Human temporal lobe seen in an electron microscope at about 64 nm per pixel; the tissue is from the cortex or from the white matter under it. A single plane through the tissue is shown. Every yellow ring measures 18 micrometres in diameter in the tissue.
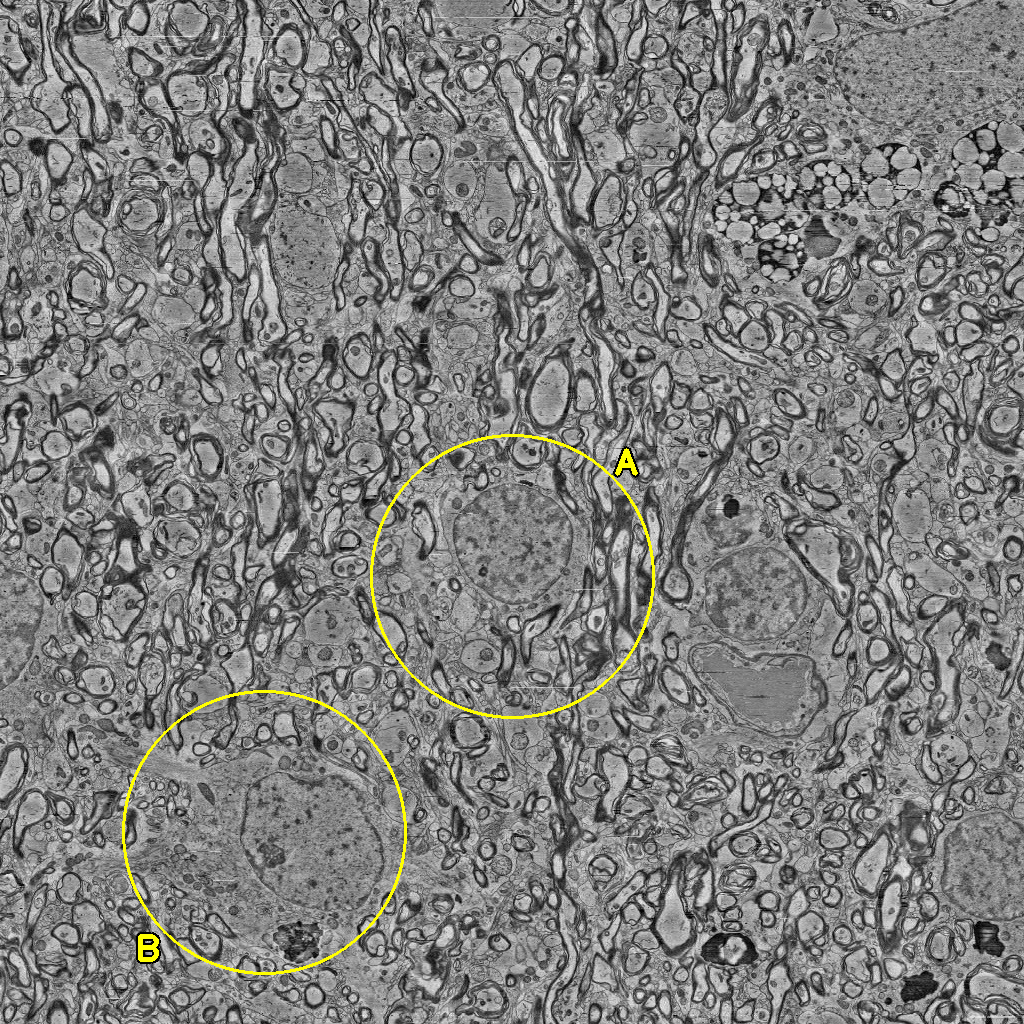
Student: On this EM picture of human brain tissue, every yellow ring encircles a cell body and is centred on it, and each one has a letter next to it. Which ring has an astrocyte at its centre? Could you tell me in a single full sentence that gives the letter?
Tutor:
Ring B is the one drawn around the cell you are asking about.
